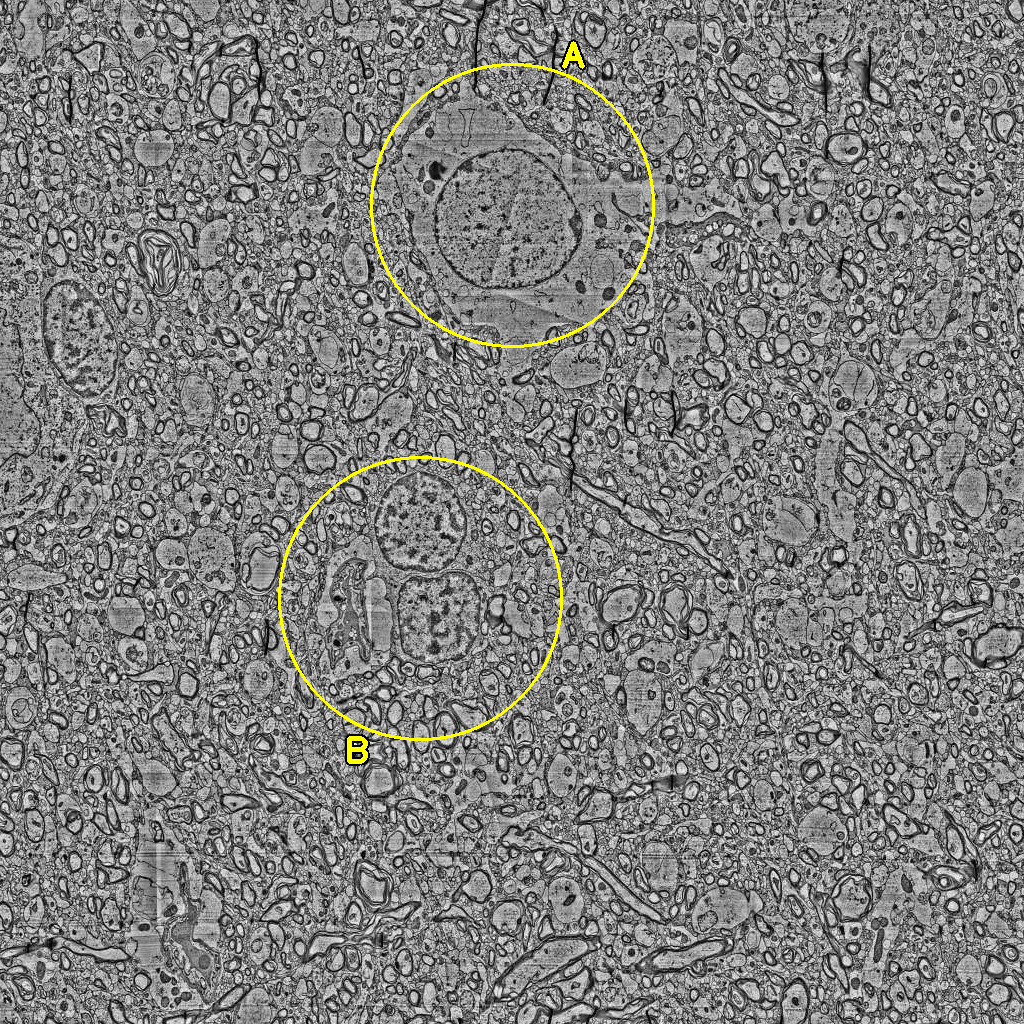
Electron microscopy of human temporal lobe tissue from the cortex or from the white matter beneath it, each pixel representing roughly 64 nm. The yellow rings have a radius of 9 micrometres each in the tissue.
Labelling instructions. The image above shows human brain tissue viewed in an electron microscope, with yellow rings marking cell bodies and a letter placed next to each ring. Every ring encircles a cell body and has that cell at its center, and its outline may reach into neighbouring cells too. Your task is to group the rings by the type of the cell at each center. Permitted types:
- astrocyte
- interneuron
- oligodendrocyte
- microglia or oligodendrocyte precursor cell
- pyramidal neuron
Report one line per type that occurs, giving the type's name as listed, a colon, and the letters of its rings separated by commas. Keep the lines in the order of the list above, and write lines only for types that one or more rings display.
astrocyte: A
oligodendrocyte: B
